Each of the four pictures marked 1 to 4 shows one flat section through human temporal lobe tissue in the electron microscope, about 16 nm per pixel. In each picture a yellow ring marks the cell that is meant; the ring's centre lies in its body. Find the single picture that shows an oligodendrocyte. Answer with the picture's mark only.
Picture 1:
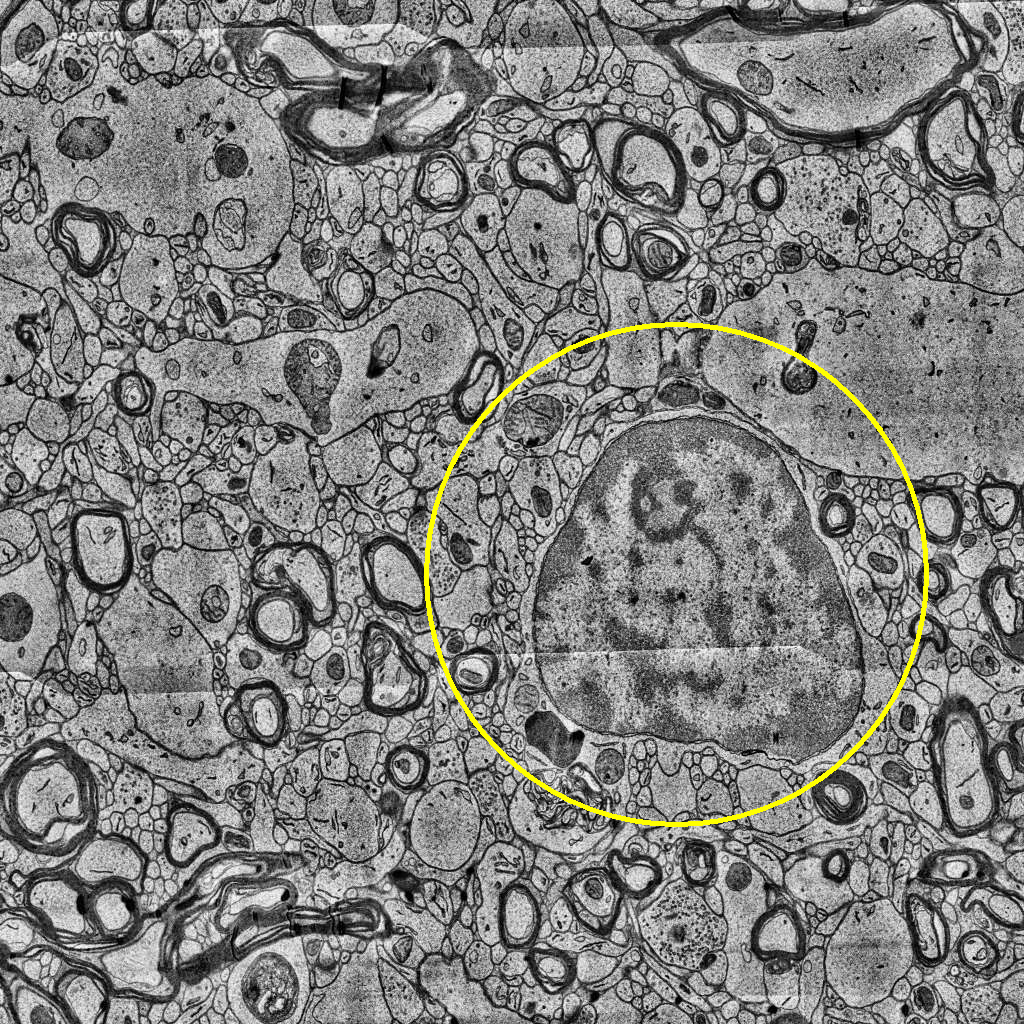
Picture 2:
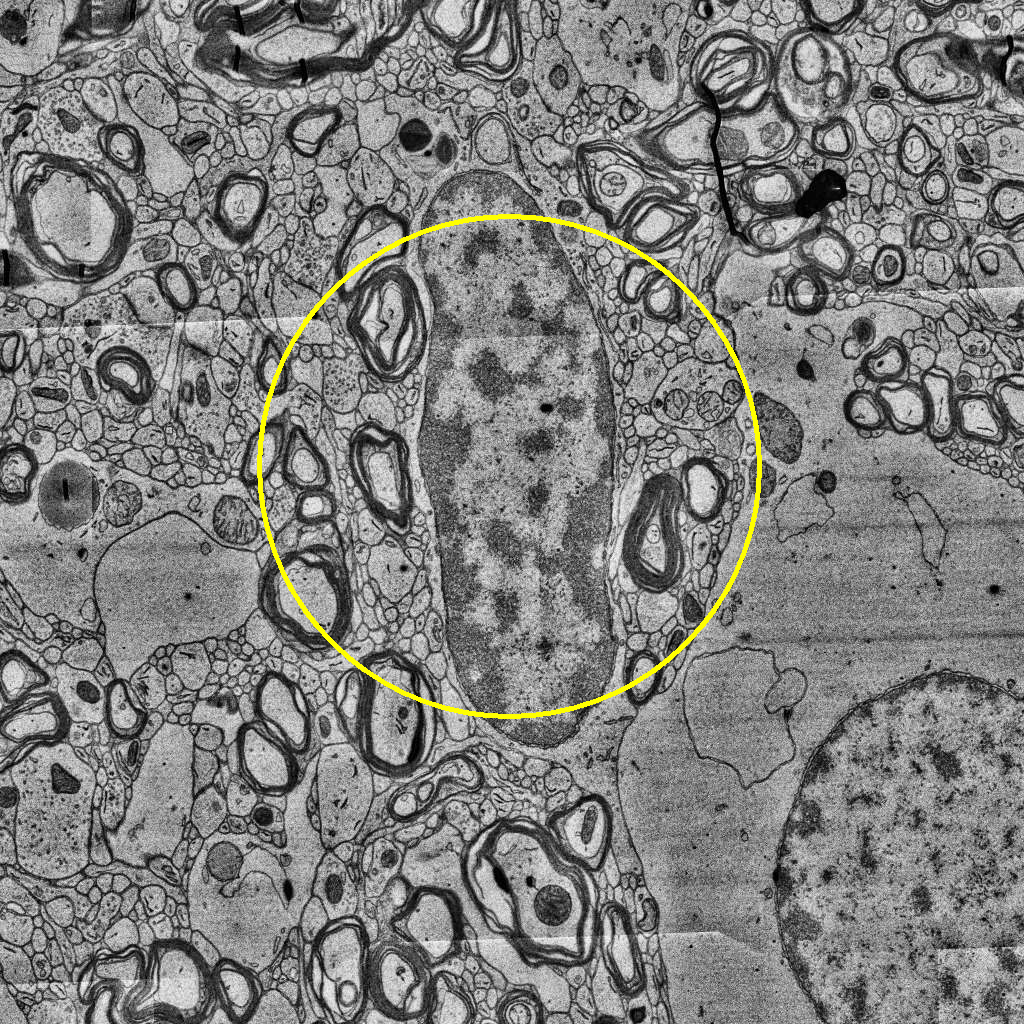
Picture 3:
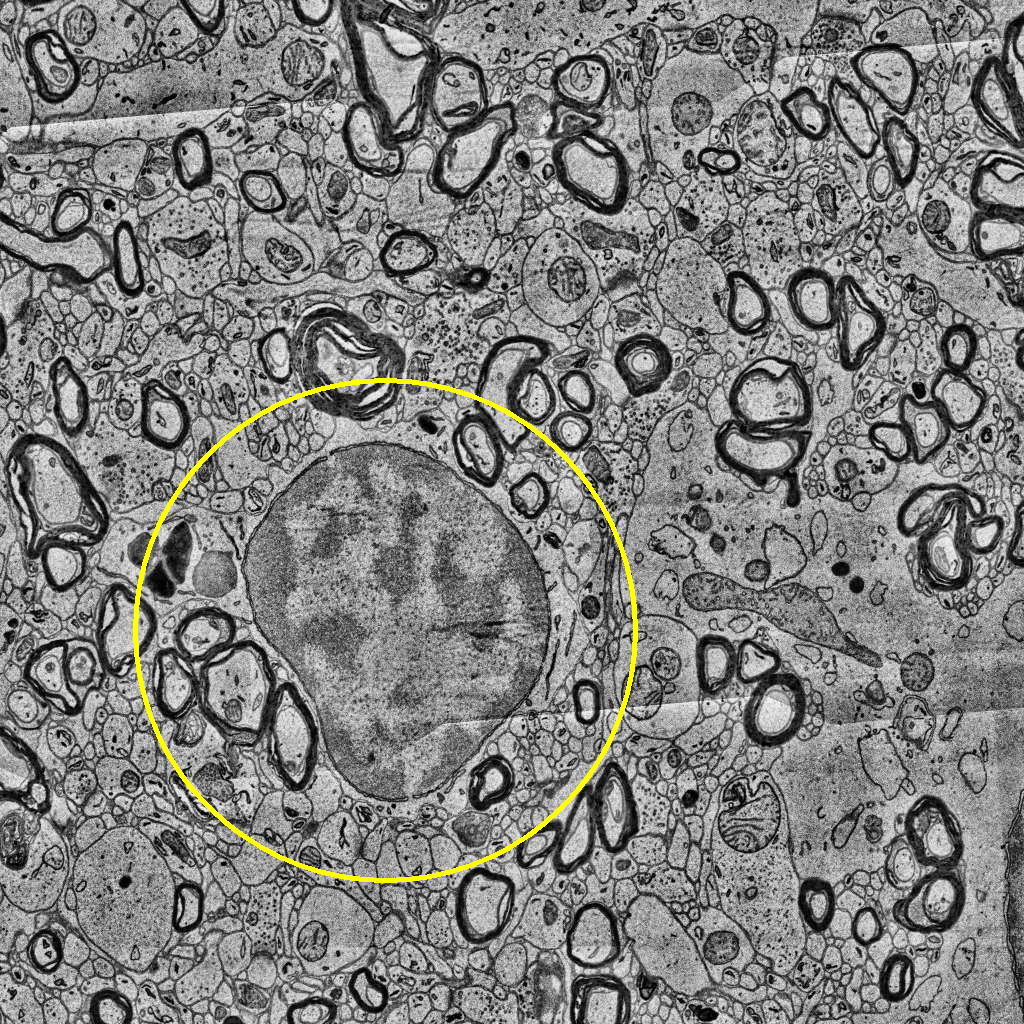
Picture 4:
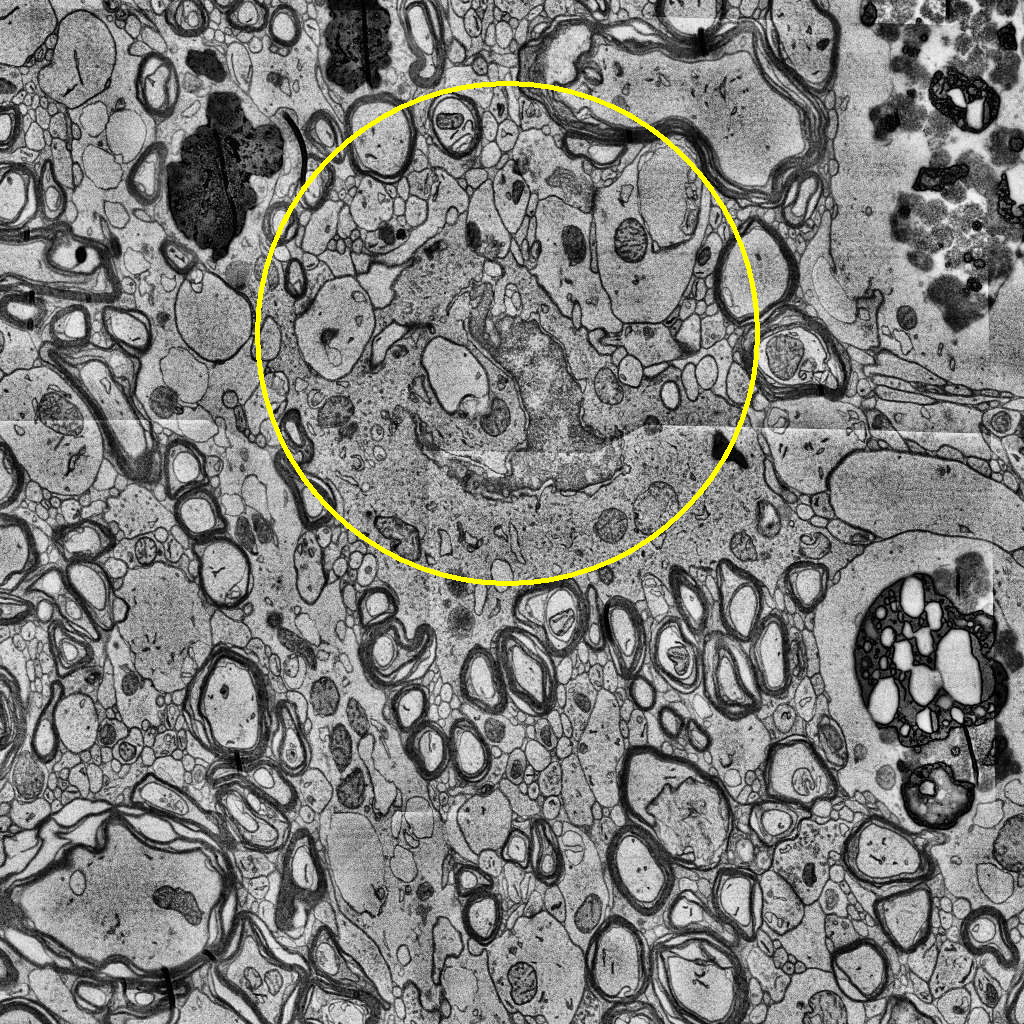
4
